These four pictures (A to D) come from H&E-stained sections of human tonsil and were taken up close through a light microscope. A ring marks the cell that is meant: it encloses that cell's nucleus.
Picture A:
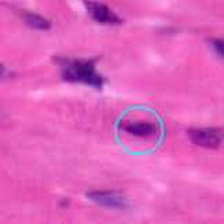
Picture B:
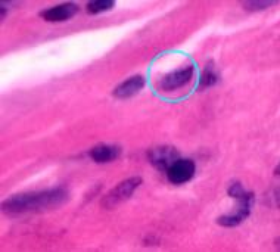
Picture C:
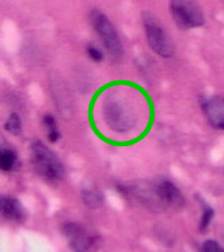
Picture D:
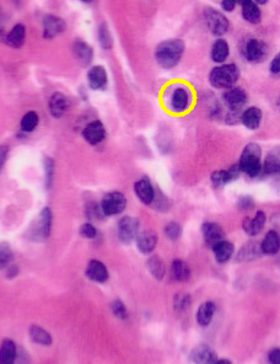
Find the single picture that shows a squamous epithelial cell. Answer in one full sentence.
Picture C is the one that shows the squamous epithelial cell.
